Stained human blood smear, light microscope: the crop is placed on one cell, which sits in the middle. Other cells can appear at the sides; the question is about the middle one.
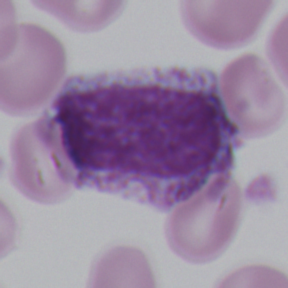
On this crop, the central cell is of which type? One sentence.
The target cell in the middle of the crop is a myelocyte.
